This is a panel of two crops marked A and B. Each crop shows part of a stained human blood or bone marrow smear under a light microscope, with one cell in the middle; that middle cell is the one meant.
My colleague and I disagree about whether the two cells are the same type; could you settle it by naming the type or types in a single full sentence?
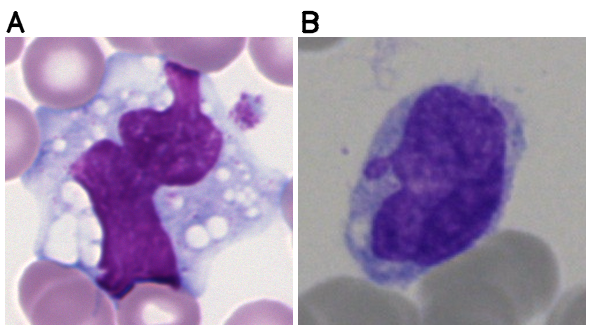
Yes, both of the crops in this pair show monocytes, one cell in each crop.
